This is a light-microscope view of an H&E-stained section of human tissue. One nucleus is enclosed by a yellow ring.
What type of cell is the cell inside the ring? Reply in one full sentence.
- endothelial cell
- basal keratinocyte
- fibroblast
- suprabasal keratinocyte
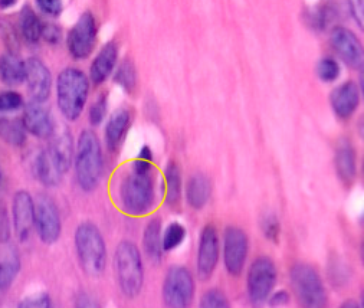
On this particular slide, the cell inside the ring is a basal keratinocyte.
